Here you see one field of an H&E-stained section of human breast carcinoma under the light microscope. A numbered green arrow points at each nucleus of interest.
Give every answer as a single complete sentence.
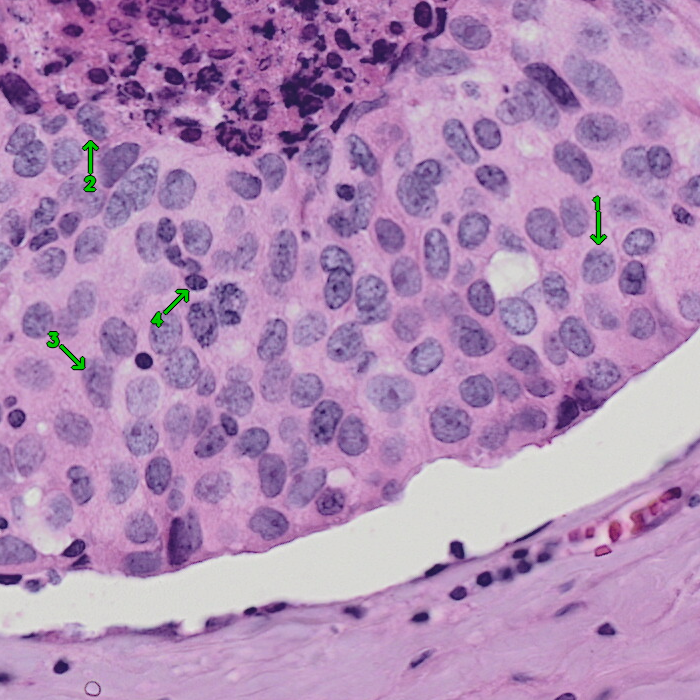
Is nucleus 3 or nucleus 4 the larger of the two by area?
Number 3 is larger; its area is about 3 times that of number 4.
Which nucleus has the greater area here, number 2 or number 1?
At about 1.5 times the area of nucleus 2, nucleus 1 is the larger of the two.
